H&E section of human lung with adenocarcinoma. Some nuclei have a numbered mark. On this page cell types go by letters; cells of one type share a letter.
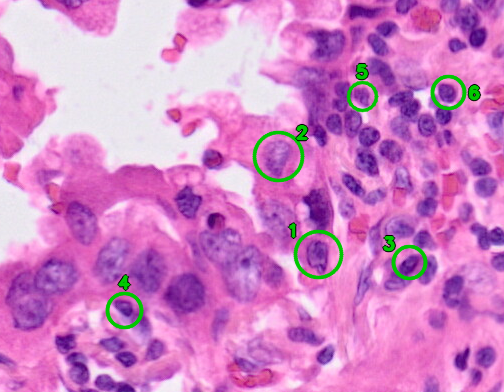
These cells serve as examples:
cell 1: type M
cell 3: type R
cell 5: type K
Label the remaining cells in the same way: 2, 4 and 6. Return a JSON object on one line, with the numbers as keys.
{"2": "type M", "4": "type K", "6": "type K"}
